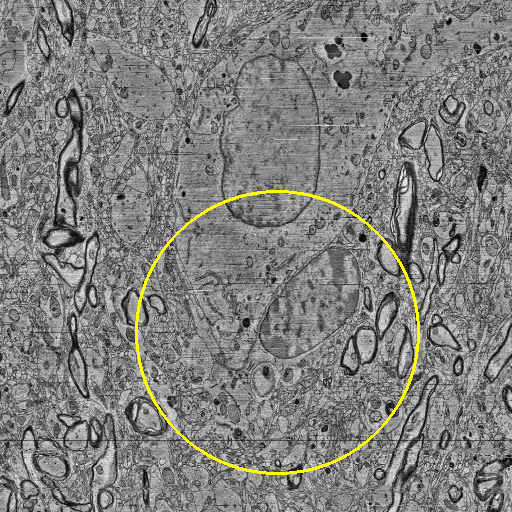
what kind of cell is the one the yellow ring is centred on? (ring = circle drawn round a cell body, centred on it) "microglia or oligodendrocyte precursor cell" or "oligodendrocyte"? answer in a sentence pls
The ring is drawn around a microglial cell or oligodendrocyte precursor cell.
